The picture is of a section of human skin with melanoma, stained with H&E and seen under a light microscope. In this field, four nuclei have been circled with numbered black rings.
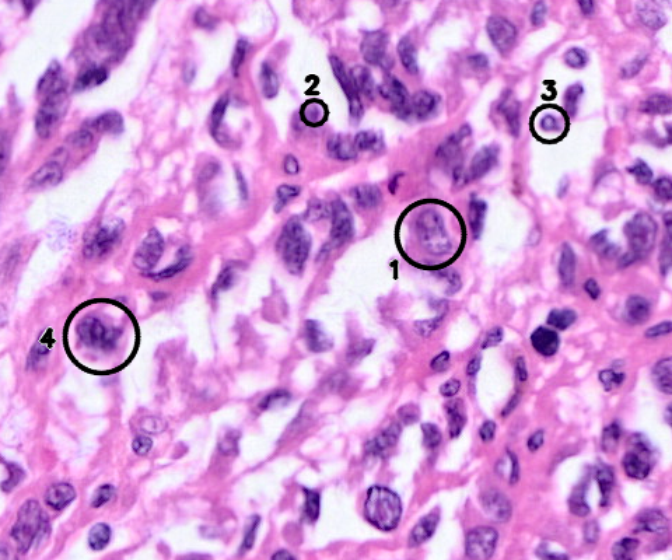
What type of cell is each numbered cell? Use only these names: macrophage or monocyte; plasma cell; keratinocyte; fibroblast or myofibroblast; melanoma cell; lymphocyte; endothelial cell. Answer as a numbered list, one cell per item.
1. melanoma cell
2. melanoma cell
3. lymphocyte
4. melanoma cell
